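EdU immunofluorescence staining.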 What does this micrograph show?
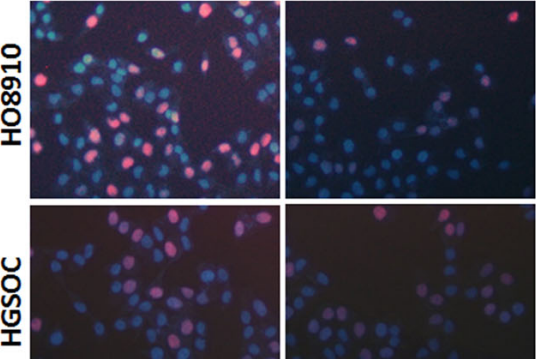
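Most nuclei are round to oval and glow blue; they lie scattered singly with gaps between them rather than forming a continuous sheet. A subset of nuclei glows pink to red, and these are more numerous in the left-hand fields than in the right-hand fields. Cell bodies and cytoplasm are not outlined, so only the nuclei can be made out.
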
